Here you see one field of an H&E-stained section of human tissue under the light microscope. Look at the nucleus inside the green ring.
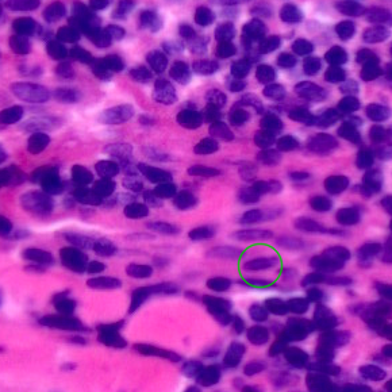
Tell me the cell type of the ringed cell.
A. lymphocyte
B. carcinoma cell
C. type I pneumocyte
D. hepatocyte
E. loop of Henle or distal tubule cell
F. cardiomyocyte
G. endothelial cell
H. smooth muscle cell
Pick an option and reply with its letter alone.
G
